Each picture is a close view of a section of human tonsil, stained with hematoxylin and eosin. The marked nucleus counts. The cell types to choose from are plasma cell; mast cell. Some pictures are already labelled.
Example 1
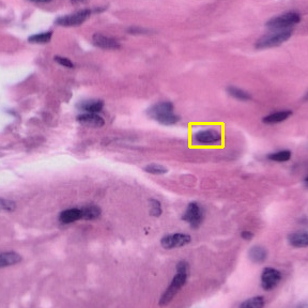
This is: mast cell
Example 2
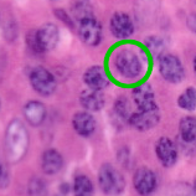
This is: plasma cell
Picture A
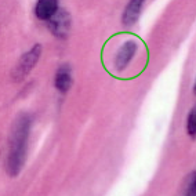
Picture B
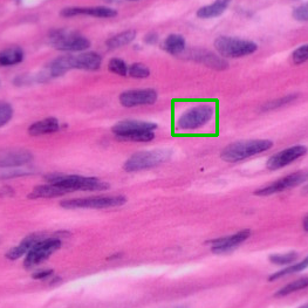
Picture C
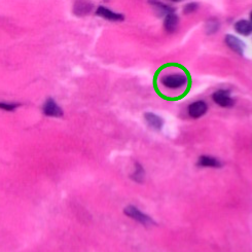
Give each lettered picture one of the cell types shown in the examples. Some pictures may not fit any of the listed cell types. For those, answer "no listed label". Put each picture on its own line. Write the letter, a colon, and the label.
A: mast cell
B: mast cell
C: mast cell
